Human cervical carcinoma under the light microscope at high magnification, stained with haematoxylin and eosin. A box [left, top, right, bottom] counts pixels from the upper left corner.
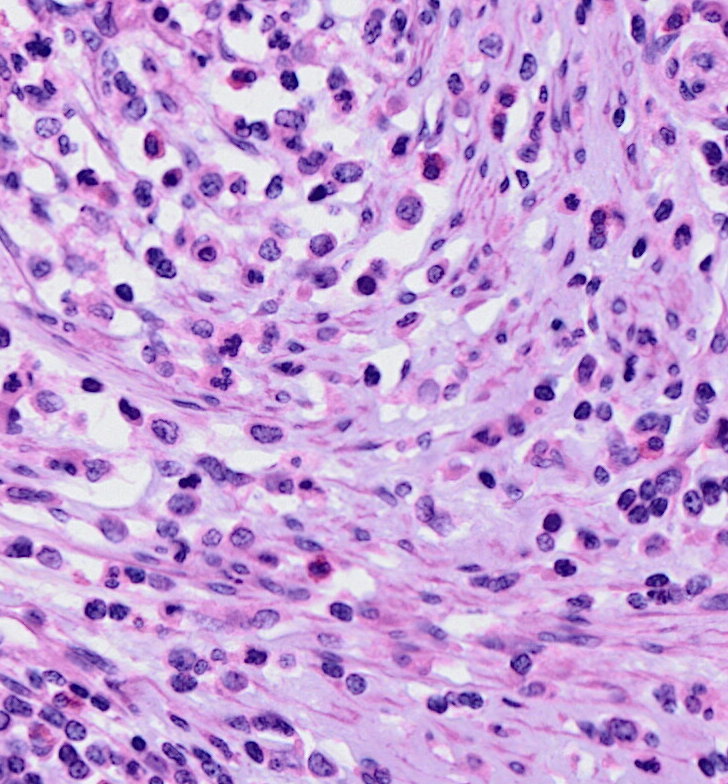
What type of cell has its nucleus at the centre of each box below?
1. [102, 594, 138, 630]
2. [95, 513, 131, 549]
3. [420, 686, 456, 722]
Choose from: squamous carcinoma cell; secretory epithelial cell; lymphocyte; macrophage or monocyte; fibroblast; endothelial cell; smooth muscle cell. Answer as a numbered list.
1. lymphocyte
2. macrophage or monocyte
3. lymphocyte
